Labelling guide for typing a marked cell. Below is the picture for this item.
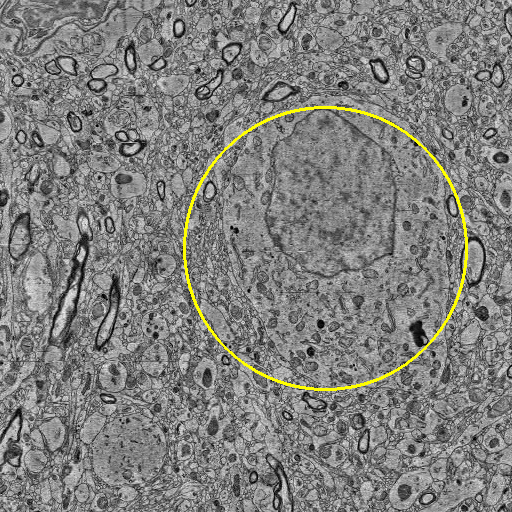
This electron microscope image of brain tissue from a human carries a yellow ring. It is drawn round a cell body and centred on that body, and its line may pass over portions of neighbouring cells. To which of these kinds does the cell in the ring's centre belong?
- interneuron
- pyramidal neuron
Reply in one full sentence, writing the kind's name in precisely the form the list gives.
Here we have a pyramidal neuron at the centre of the yellow ring in the picture.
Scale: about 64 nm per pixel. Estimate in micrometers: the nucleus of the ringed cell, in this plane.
The nucleus comes to roughly 11 by 8 micrometres in this plane.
